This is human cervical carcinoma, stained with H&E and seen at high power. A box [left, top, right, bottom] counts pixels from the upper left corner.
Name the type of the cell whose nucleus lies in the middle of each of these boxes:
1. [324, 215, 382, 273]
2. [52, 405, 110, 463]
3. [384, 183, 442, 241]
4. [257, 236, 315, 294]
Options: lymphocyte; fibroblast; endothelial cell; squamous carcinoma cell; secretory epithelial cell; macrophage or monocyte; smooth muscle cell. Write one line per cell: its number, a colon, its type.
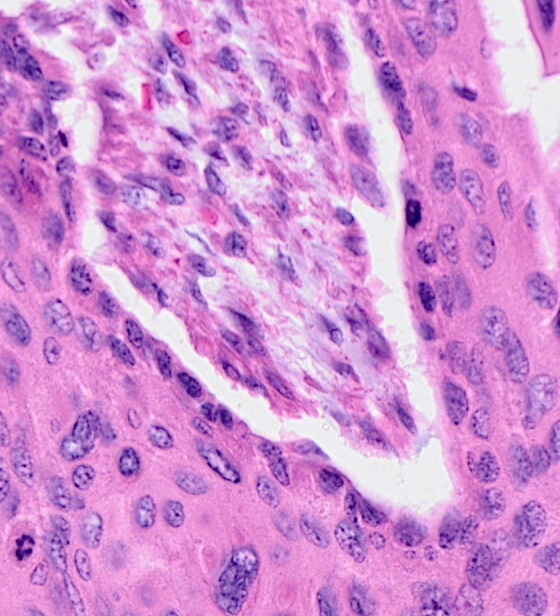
1: macrophage or monocyte
2: squamous carcinoma cell
3: squamous carcinoma cell
4: fibroblast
